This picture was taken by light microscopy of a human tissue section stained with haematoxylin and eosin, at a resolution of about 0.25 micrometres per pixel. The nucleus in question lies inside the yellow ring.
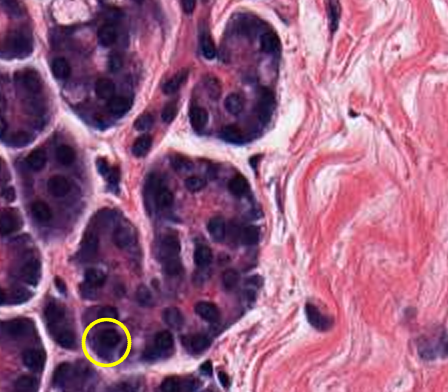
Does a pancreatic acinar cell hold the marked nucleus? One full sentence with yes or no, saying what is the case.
Yes, the marked nucleus belongs to a pancreatic acinar cell in this field.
